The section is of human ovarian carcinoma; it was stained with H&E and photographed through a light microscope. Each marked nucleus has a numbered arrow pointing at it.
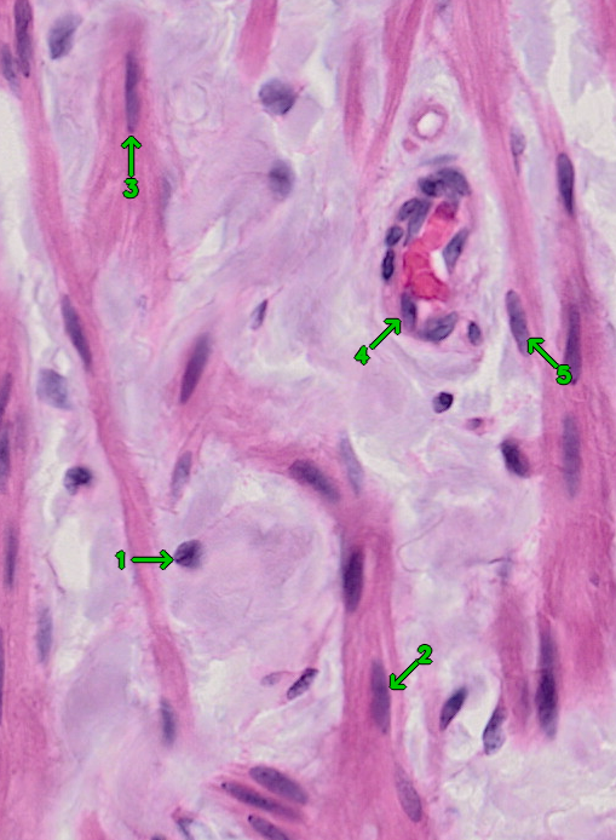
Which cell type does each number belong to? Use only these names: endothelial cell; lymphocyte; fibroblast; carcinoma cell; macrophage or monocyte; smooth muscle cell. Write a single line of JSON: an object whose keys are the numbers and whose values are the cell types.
{"1": "fibroblast", "2": "smooth muscle cell", "3": "smooth muscle cell", "4": "endothelial cell", "5": "smooth muscle cell"}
